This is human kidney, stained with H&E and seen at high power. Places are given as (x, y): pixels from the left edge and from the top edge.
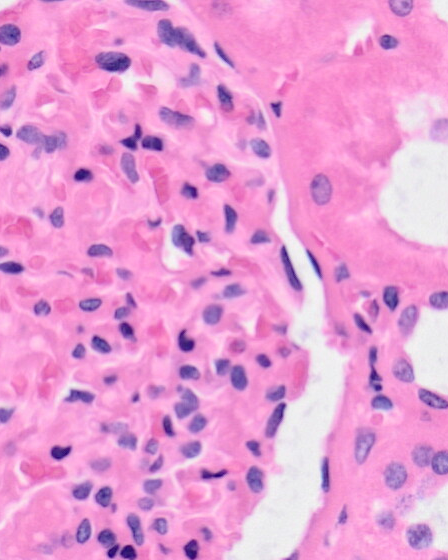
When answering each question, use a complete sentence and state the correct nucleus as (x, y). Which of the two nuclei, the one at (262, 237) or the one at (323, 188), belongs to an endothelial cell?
The nucleus at (262, 237) is the one that belongs to an endothelial cell.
